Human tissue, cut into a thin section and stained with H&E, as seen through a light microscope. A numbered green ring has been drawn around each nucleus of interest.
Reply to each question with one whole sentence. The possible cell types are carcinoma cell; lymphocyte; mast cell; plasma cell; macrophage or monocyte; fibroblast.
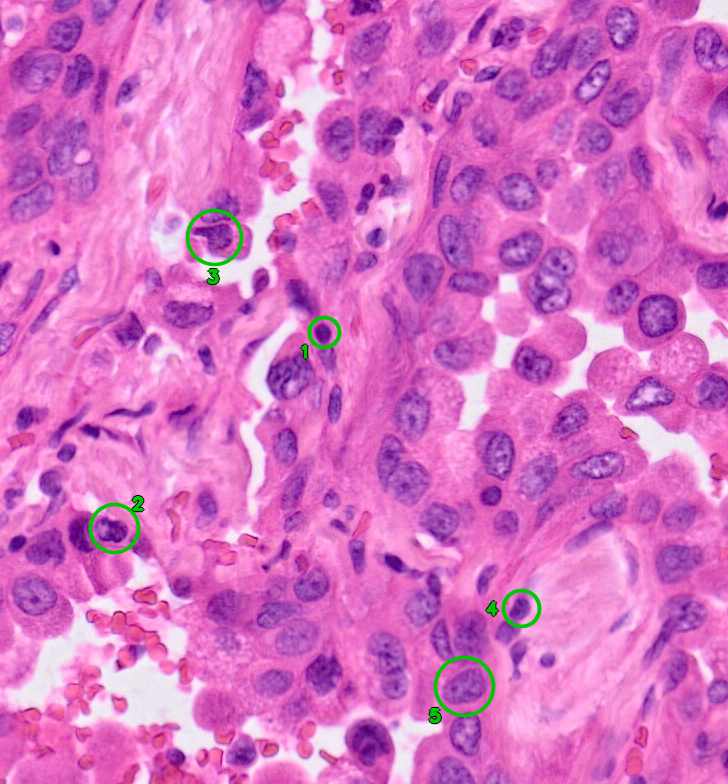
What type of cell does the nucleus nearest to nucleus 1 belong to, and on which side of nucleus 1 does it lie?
The nearest one is a macrophage or monocyte, found below nucleus 1.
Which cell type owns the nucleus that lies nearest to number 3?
It is a carcinoma cell whose nucleus is nearest to number 3.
